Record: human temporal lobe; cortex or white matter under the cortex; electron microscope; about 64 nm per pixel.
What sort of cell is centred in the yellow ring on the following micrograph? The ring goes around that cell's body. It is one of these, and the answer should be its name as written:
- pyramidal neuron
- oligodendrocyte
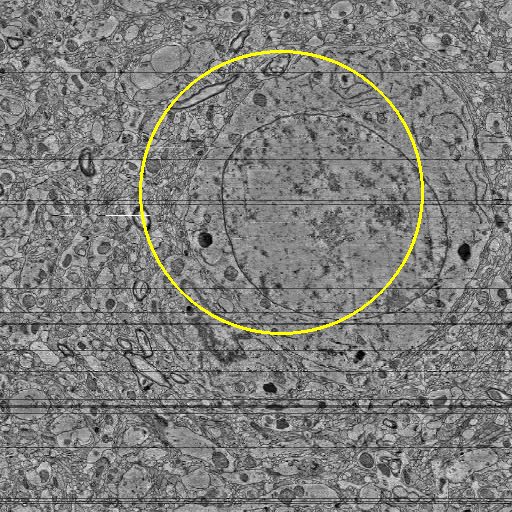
pyramidal neuron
